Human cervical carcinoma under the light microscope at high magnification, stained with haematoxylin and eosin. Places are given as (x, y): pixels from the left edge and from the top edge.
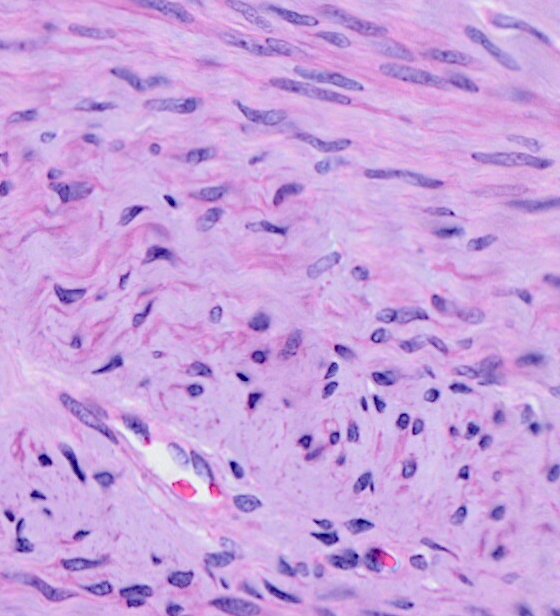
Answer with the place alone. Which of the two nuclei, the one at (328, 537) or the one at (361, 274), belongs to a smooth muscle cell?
(361, 274)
